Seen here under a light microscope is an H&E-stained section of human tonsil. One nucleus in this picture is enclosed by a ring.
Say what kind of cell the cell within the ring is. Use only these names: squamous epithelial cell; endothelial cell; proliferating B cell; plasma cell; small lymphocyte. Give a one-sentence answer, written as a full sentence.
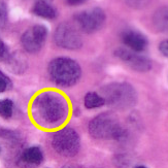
The expected answer is simply that the cell within the ring is a squamous epithelial cell.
